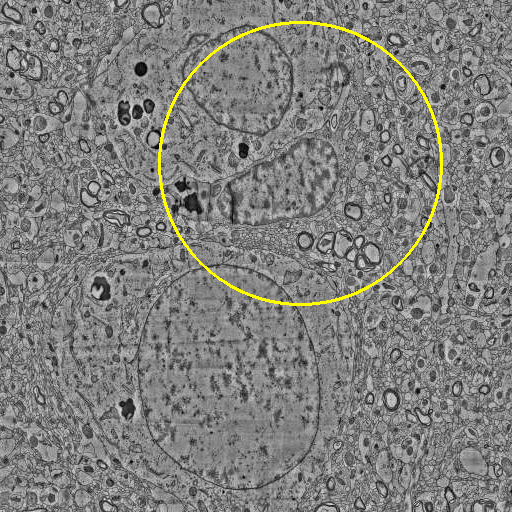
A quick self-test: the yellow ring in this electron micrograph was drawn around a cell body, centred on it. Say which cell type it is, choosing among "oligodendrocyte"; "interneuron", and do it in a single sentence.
The yellow-ringed cell is an oligodendrocyte.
